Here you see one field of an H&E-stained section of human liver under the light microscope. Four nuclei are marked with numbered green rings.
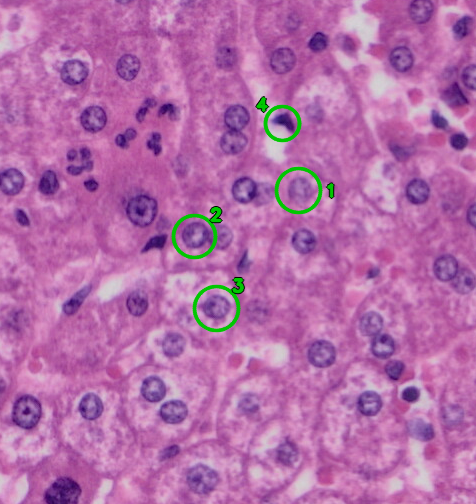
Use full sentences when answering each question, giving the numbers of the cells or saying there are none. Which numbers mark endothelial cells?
Of all the cells bearing numbers, cell 4 is the only one that is an endothelial cell.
